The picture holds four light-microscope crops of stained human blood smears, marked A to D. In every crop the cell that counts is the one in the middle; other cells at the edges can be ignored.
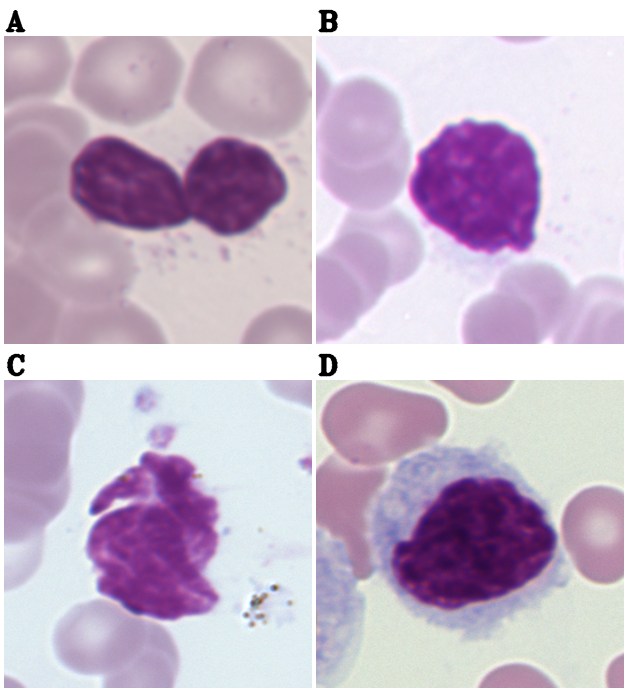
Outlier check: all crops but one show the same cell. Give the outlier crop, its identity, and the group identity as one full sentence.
The rest of the crops show smudge cells; crop D is the one showing a hairy cell.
